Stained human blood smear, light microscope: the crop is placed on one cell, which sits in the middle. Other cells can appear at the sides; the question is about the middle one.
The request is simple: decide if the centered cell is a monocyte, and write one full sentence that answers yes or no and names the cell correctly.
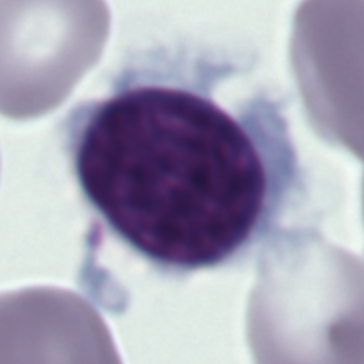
No, the cell found centrally in the crop is a hairy cell, not a monocyte.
